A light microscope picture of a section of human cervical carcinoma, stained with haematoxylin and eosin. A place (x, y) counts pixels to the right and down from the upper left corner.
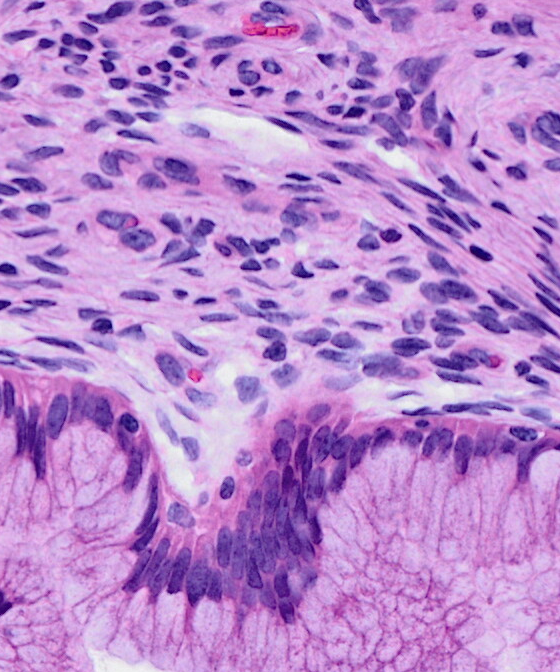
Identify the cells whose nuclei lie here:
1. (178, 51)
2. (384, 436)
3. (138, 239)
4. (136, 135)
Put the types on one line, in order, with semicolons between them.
fibroblast; secretory epithelial cell; endothelial cell; fibroblast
